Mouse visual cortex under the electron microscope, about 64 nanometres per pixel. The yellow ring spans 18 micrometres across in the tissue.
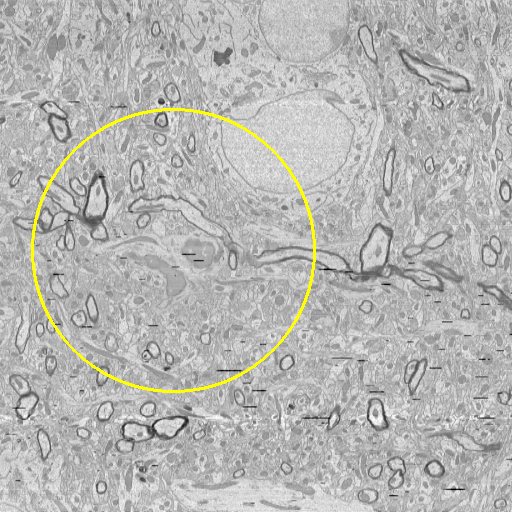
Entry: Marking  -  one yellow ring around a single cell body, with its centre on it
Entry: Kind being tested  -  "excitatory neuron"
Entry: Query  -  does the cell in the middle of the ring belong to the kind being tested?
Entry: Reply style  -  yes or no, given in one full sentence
No, the centred cell within the ring in the picture belongs to a different kind.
